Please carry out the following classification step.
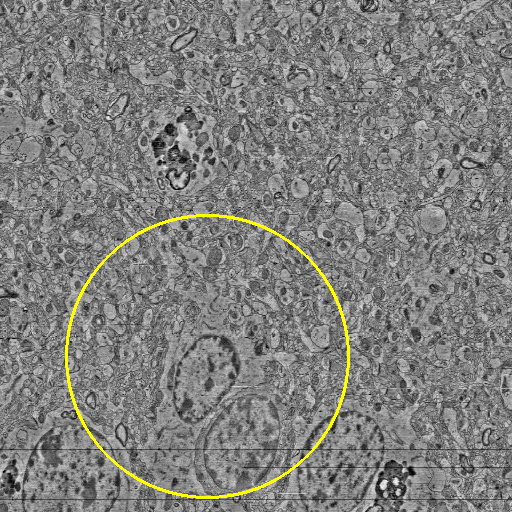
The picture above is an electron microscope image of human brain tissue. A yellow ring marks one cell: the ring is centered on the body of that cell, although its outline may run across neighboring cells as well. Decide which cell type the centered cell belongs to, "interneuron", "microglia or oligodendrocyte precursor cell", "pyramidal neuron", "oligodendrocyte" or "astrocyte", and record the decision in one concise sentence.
The cell centered in the yellow ring is an astrocyte.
